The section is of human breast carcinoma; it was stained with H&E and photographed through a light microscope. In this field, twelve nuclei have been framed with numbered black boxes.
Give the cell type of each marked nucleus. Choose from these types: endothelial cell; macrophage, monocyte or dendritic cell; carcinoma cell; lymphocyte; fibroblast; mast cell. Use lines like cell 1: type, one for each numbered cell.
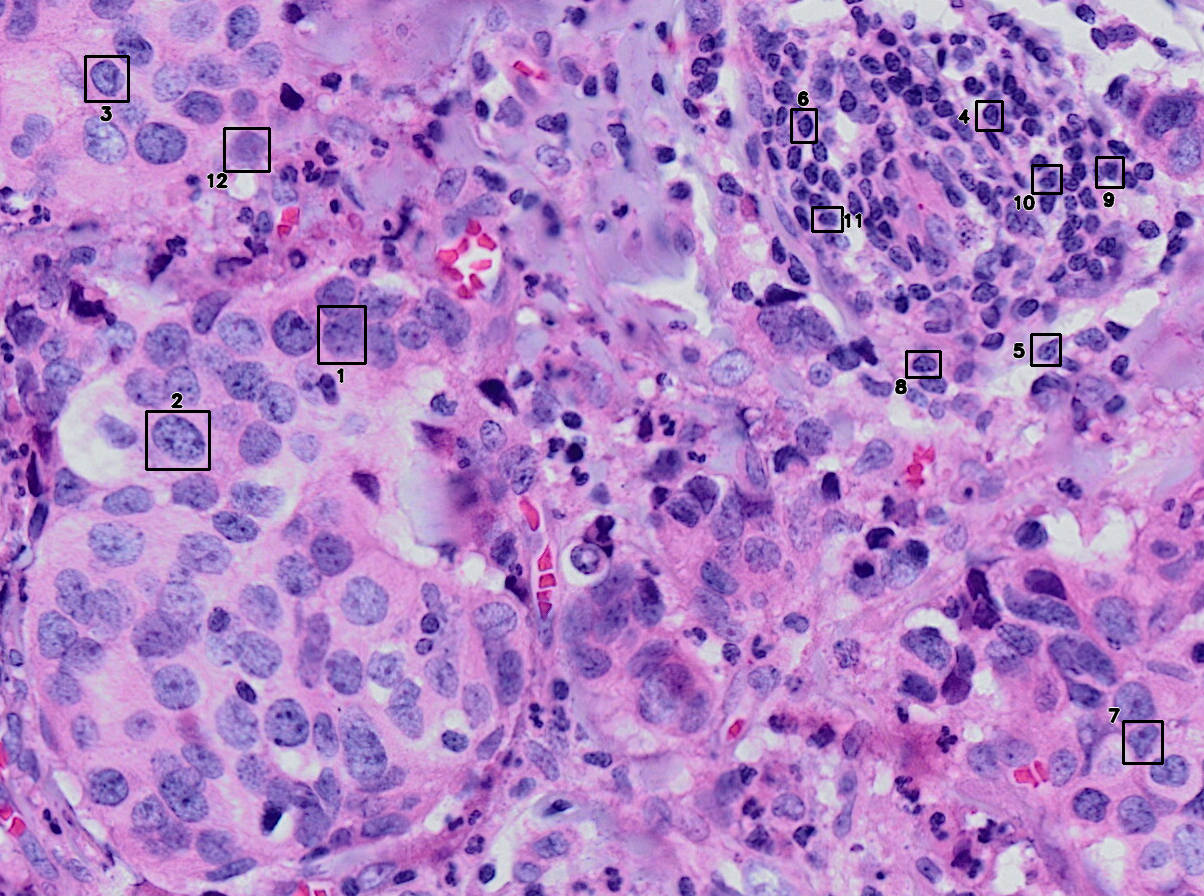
cell 1: carcinoma cell
cell 2: carcinoma cell
cell 3: carcinoma cell
cell 4: lymphocyte
cell 5: lymphocyte
cell 6: lymphocyte
cell 7: carcinoma cell
cell 8: lymphocyte
cell 9: lymphocyte
cell 10: lymphocyte
cell 11: lymphocyte
cell 12: carcinoma cell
